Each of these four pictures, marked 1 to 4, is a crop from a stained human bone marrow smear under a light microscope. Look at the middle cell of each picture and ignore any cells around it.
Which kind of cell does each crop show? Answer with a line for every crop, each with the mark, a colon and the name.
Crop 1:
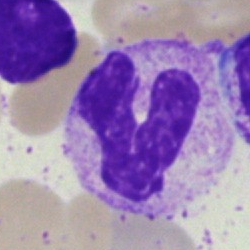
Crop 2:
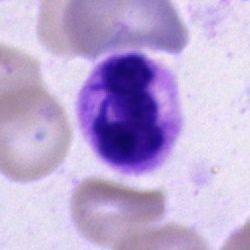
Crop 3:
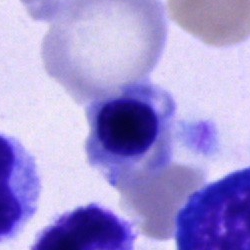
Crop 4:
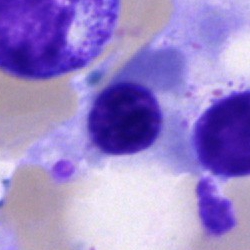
1: band neutrophil
2: segmented neutrophil
3: erythroblast
4: erythroblast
